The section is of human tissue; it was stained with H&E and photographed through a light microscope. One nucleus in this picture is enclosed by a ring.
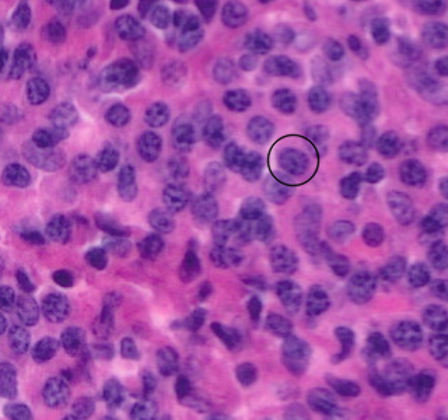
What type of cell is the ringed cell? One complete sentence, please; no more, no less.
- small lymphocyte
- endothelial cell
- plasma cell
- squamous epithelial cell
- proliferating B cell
Among the cells in this section, the ringed cell is a plasma cell.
